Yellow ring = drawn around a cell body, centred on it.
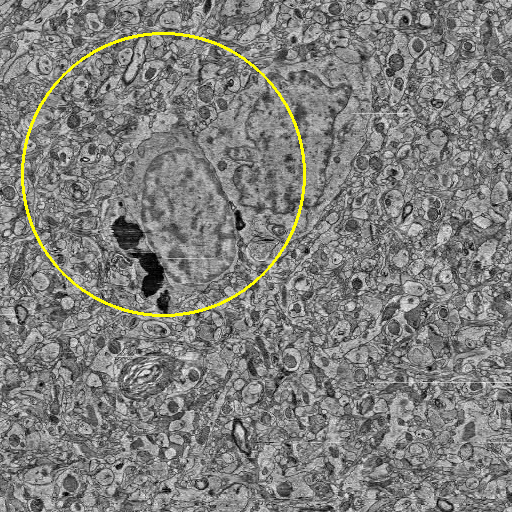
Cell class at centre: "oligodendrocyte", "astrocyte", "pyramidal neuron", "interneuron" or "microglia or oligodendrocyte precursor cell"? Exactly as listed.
oligodendrocyte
